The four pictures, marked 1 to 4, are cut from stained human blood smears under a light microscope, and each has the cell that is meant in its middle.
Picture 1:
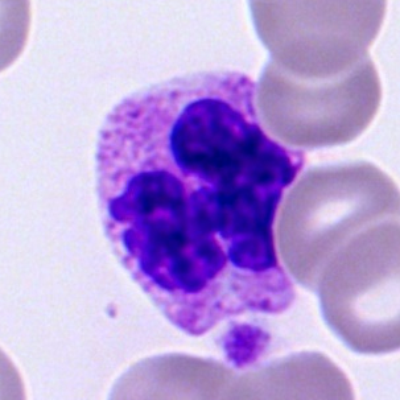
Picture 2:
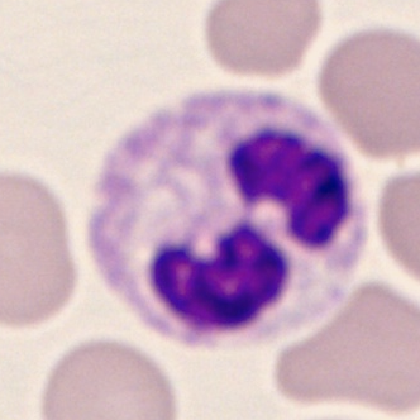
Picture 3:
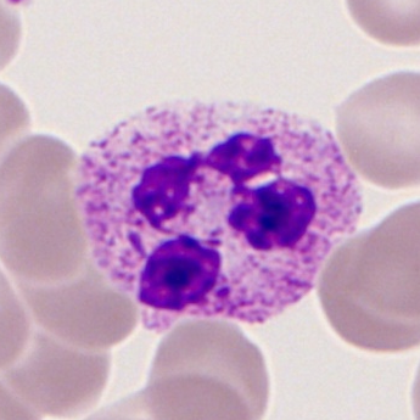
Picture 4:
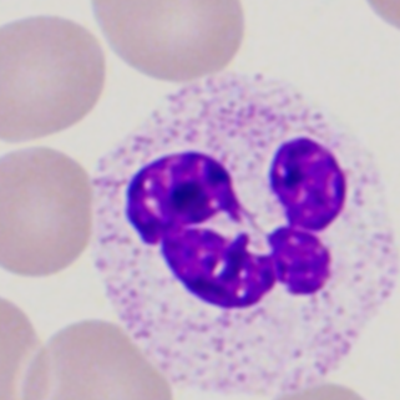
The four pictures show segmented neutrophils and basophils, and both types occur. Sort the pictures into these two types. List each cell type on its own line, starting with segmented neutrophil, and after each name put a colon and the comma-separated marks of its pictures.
segmented neutrophil: 2, 3, 4
basophil: 1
